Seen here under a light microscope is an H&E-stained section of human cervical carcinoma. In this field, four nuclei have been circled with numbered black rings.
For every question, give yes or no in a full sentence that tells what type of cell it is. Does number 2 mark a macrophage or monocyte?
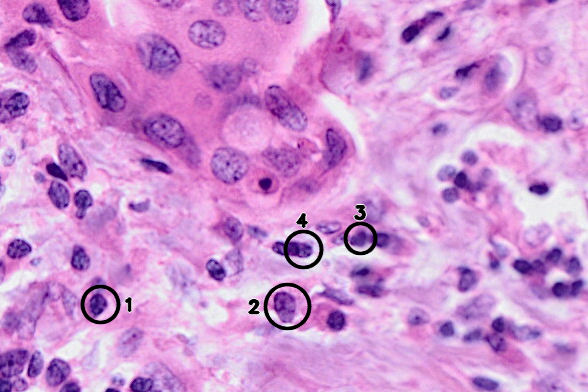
Yes, cell number 2 is identified here as a macrophage or monocyte.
